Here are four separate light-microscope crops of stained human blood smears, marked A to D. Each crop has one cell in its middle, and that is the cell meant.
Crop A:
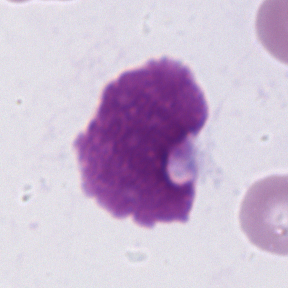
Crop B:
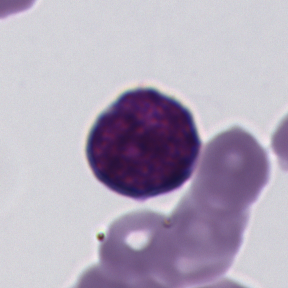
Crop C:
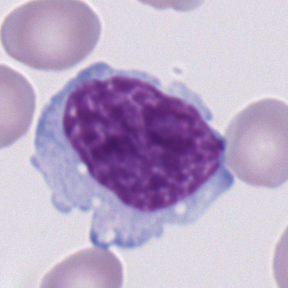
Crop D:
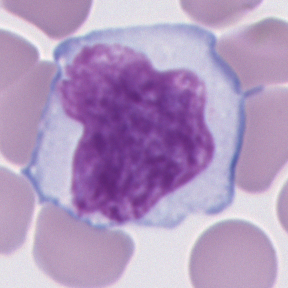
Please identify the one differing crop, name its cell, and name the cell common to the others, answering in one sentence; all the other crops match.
All the crops show myeloblasts, barring crop A, which is a smudge cell.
